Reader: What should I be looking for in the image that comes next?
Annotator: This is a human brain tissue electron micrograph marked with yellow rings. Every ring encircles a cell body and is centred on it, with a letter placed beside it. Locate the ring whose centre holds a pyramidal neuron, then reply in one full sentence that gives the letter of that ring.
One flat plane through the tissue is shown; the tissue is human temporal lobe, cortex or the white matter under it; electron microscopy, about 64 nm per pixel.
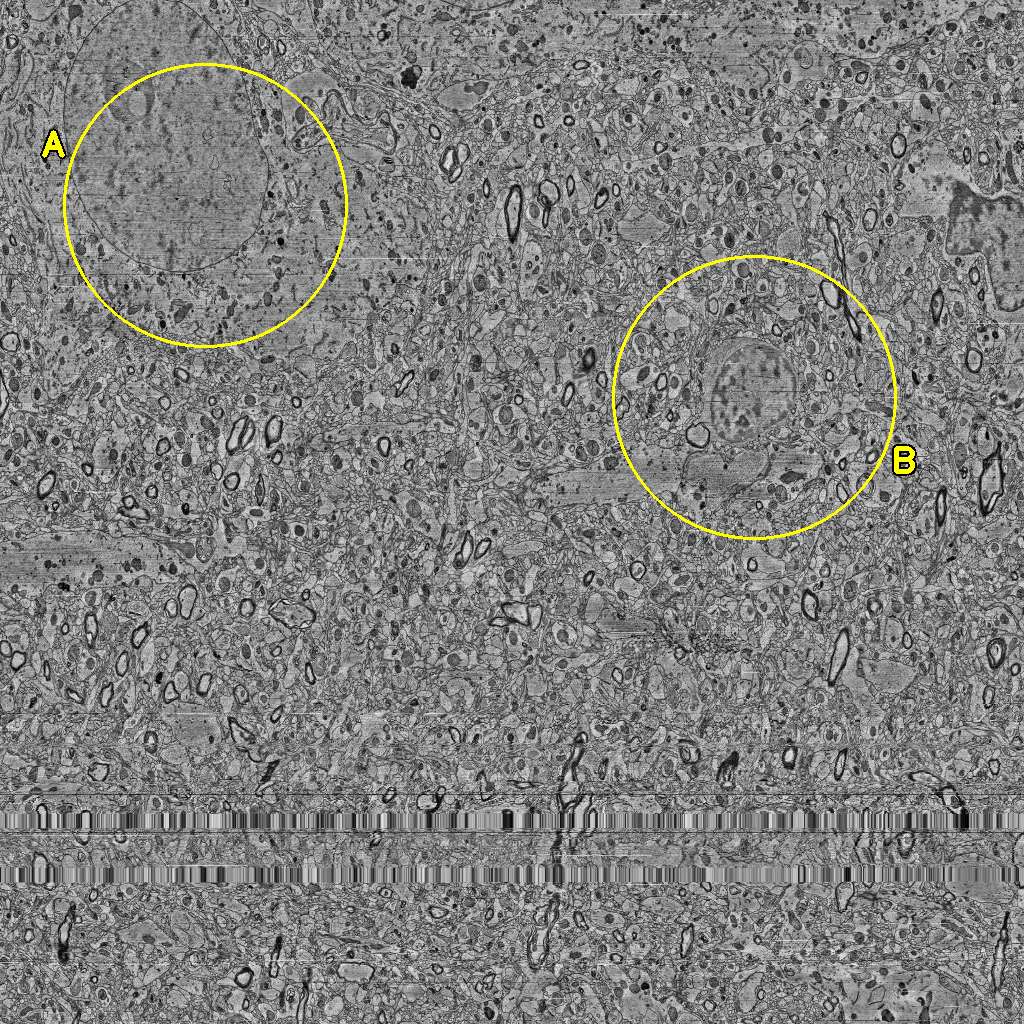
The ring centred on the cell asked for is the one labelled A.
